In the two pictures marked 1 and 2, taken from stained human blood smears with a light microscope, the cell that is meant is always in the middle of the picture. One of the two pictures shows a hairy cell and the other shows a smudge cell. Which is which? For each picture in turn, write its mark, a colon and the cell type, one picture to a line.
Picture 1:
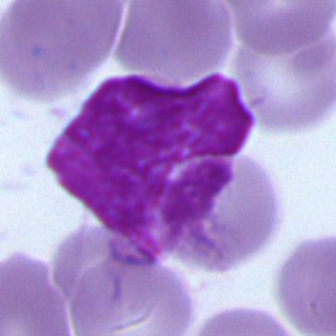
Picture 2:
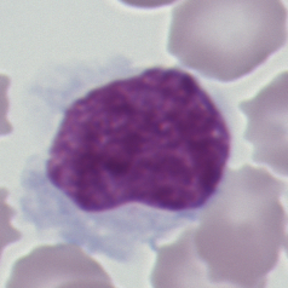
1: smudge cell
2: hairy cell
